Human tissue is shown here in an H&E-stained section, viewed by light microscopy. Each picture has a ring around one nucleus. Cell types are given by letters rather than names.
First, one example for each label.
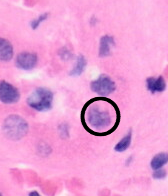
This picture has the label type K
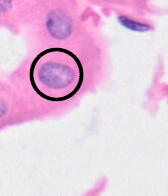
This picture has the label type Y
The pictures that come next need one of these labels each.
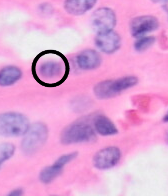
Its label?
type K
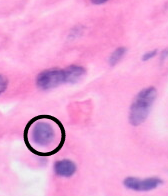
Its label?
type K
